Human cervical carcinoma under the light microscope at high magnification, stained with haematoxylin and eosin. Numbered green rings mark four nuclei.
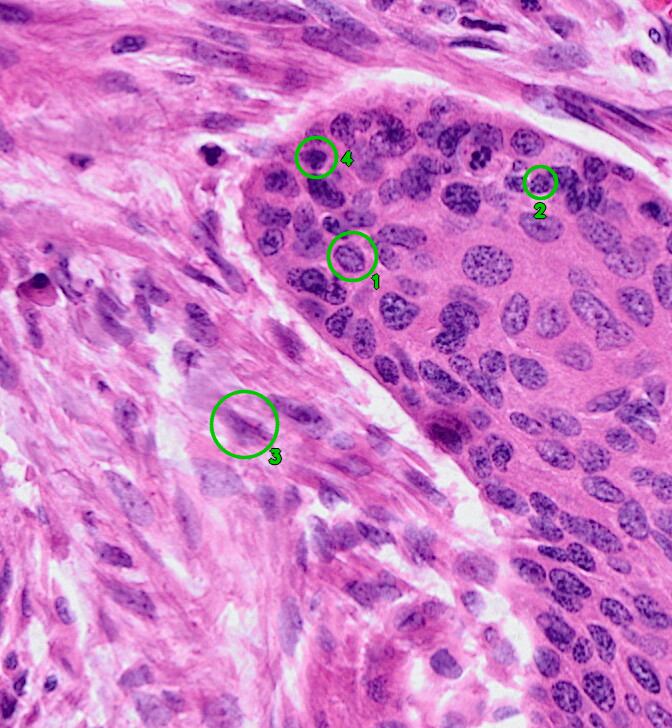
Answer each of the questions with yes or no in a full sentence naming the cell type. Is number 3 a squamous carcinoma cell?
No, cell 3 is a fibroblast and should not be called a squamous carcinoma cell.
